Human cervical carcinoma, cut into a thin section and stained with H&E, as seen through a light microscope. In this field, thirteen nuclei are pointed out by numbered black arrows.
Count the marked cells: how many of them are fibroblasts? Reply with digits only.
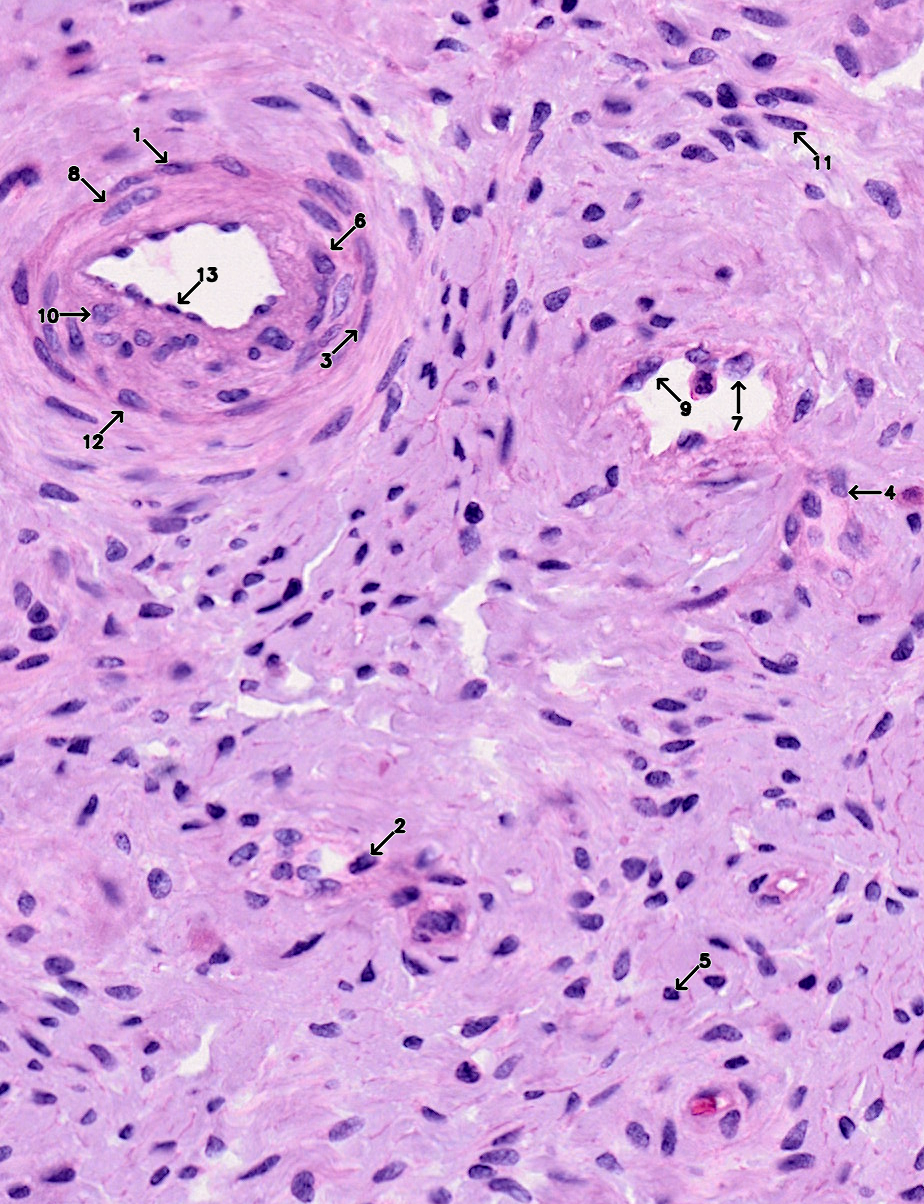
2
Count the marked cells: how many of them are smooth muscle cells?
7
